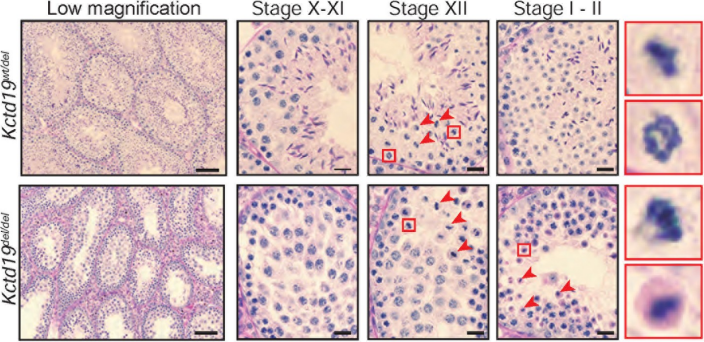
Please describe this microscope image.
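These are cross-sections of seminiferous tubules of the testis, with germ cells stacked in layers from the basement membrane toward the lumen. Larger spermatocytes with round, blue-stained nuclei sit in the middle layers, and dark, slender heads of elongating spermatids lie toward the lumen in some tubules. Scattered cells are in metaphase, their chromatin condensed into a compact dark mass, shown enlarged in the boxes at the right.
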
